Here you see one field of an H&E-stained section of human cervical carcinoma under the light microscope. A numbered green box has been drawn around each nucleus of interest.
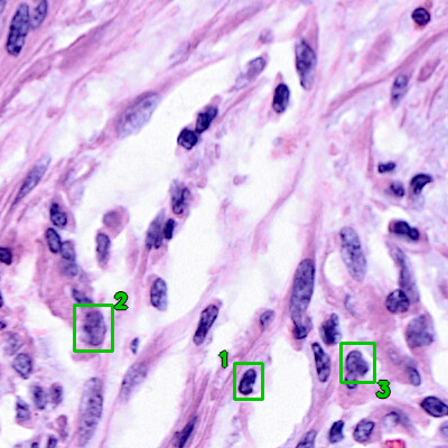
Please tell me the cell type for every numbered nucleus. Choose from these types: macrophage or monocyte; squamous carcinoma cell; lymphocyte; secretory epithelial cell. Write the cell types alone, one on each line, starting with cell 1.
lymphocyte
macrophage or monocyte
lymphocyte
